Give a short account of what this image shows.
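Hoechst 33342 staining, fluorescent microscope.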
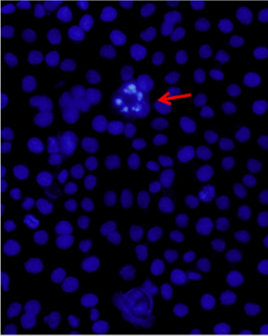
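Most nuclei are round to oval, of similar size, evenly and moderately stained, spaced closely but mostly separate. The apoptotic nuclei appear as clusters of several small, bright blue fragments of condensed chromatin instead of one smooth nucleus, with brighter spots along their margins. A faint, irregular blue haze surrounds some of these clusters. Cytoplasm is not stained and shows only as dark spaces between nuclei.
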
